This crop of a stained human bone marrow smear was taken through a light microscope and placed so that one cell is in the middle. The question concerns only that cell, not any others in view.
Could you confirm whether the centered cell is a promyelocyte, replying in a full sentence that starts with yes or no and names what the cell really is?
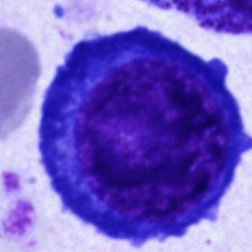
No, in this crop the central cell is a proerythroblast instead of a promyelocyte.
